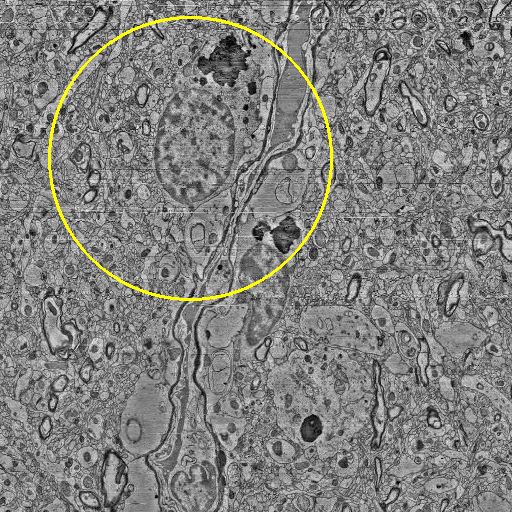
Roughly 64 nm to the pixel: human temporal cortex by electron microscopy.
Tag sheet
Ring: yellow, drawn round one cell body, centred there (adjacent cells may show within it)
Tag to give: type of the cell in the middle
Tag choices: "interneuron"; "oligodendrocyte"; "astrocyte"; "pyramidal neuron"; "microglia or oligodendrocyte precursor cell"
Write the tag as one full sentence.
I tag the cell centred in the yellow ring as an oligodendrocyte in this picture.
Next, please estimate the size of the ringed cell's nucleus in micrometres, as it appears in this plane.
About 7 by 5 micrometers, in this plane.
